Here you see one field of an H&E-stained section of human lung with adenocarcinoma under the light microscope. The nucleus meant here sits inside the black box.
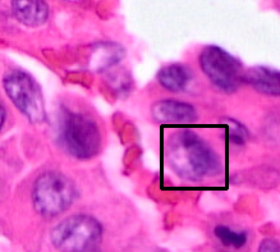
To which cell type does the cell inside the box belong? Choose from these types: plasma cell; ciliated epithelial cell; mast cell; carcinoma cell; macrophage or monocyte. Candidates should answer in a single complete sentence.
The expected answer is simply that the cell inside the box is a carcinoma cell.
